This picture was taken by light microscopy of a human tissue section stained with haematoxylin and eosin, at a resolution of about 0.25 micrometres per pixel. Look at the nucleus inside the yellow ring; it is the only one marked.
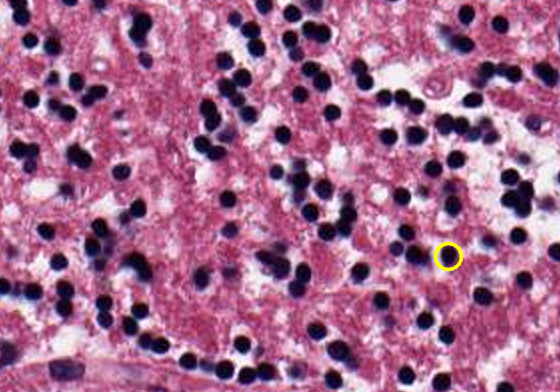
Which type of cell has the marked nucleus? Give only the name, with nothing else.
cerebellar granule cell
